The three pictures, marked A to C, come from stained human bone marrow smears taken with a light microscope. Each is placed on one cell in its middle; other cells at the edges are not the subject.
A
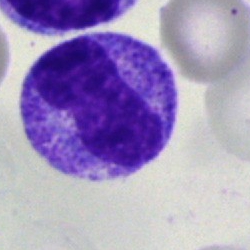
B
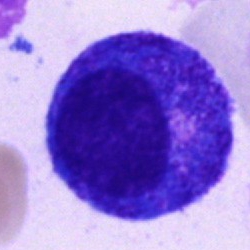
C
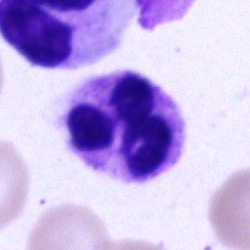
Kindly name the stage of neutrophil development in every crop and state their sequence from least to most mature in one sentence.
Maturity rises in the sequence crop B (a promyelocyte), crop A (a metamyelocyte) and crop C (a segmented neutrophil).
